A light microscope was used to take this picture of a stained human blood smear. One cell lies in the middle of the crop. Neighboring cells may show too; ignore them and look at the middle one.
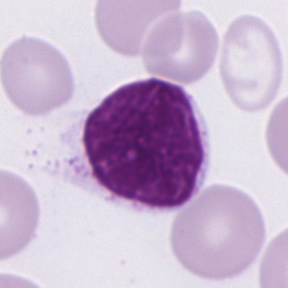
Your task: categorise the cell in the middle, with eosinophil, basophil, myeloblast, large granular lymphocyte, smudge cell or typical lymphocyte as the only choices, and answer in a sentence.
The cell at the centre of the field is a large granular lymphocyte.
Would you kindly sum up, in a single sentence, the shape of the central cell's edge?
Ragged or projecting, the border of this cell departs from a smooth contour.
